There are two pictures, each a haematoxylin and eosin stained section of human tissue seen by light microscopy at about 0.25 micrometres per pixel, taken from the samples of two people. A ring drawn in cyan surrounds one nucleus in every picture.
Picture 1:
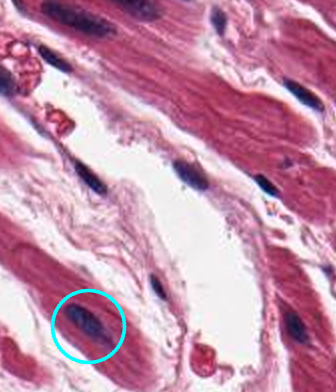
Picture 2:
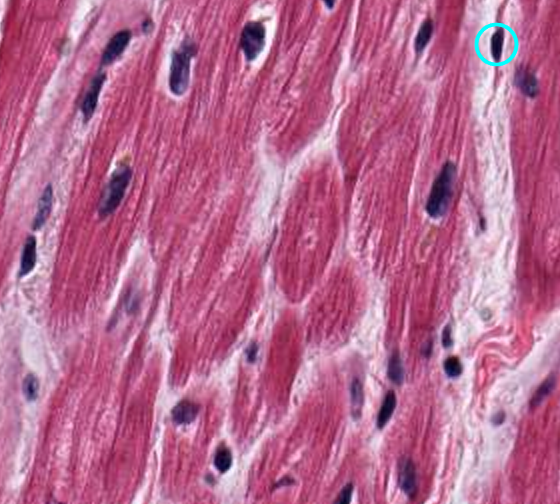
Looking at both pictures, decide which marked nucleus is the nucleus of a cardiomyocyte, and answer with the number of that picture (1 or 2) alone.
1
